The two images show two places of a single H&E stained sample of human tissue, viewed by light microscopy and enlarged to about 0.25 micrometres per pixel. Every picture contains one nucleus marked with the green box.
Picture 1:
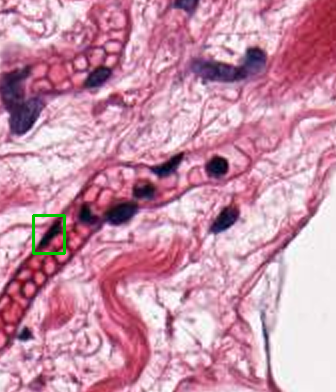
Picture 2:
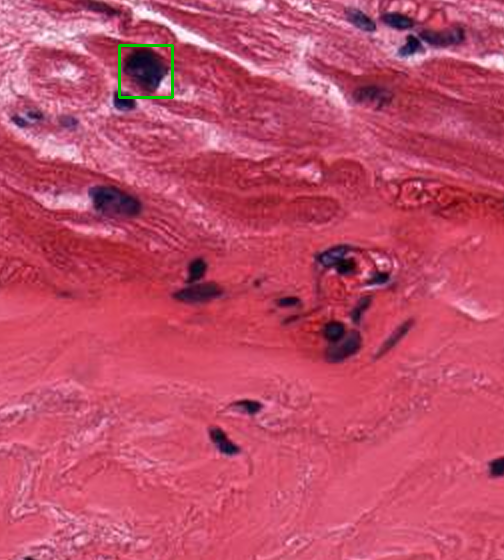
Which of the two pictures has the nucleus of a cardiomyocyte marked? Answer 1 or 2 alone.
2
